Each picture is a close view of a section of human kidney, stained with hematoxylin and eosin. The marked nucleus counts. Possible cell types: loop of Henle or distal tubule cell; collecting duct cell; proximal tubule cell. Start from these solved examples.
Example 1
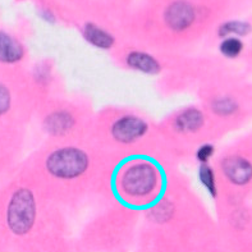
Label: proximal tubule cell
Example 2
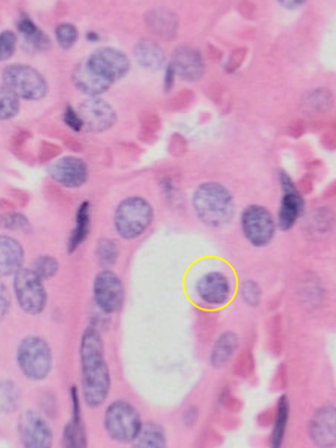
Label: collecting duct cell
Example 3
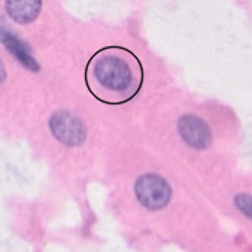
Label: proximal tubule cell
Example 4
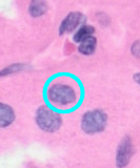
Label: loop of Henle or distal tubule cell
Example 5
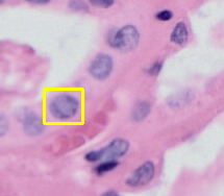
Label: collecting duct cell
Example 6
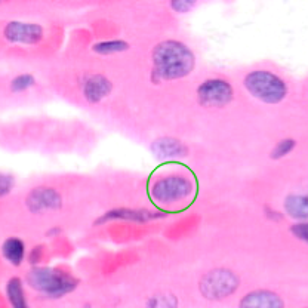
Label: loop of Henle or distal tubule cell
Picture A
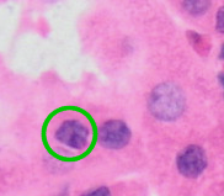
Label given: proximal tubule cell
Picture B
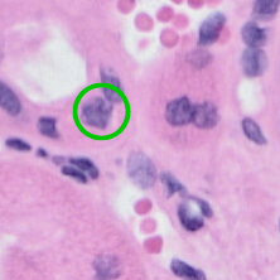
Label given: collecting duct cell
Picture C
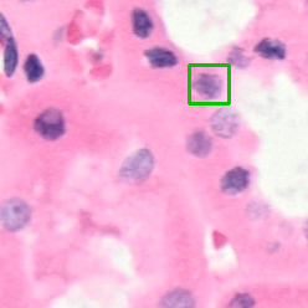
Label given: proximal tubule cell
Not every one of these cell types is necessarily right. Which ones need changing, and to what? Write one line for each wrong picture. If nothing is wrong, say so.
C: loop of Henle or distal tubule cell, not proximal tubule cell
